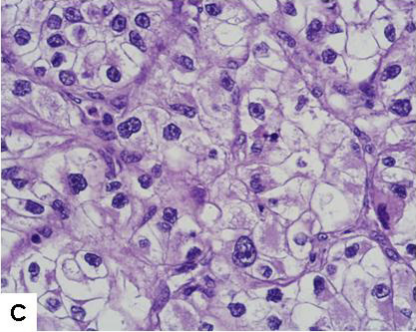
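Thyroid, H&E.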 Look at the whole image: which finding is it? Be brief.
Moderately atypical nuclei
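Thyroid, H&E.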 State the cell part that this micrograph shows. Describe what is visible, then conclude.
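Cytoplasm of most cells is pale and almost unstained. On this evidence: abundant optically empty cytoplasm.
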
